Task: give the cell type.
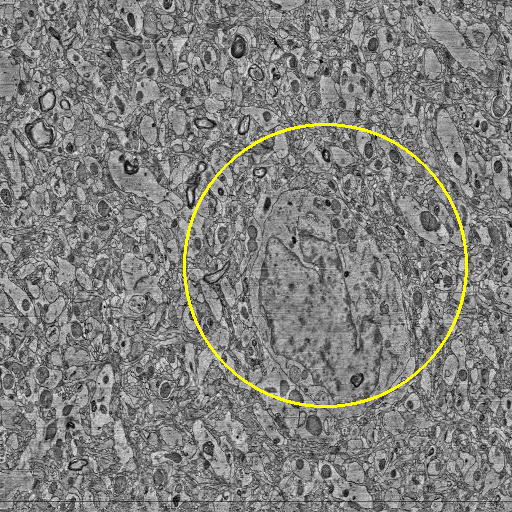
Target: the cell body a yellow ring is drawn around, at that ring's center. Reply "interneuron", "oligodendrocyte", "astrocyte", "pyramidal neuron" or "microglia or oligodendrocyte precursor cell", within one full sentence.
In this picture, the cell whose body lies at the ring's center is an interneuron.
